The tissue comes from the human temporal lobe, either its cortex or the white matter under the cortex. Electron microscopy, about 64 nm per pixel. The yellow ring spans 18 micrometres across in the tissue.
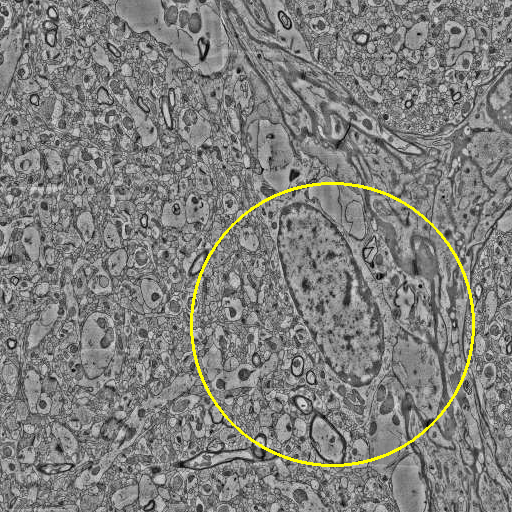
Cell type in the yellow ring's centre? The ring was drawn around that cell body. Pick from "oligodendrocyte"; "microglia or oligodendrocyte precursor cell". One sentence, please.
The ringed cell body is that of a microglial cell or oligodendrocyte precursor cell.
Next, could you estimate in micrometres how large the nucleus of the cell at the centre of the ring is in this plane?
About 12 micrometres by about 5 micrometres in this plane.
